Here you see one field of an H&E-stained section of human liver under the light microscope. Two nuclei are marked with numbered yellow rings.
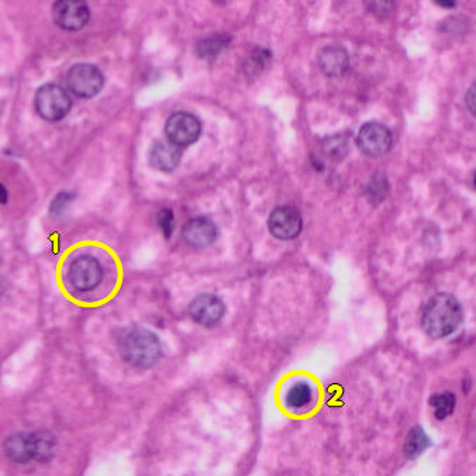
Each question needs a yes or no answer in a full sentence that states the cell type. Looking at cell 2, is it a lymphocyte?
Yes, the cell at number 2 is a lymphocyte.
